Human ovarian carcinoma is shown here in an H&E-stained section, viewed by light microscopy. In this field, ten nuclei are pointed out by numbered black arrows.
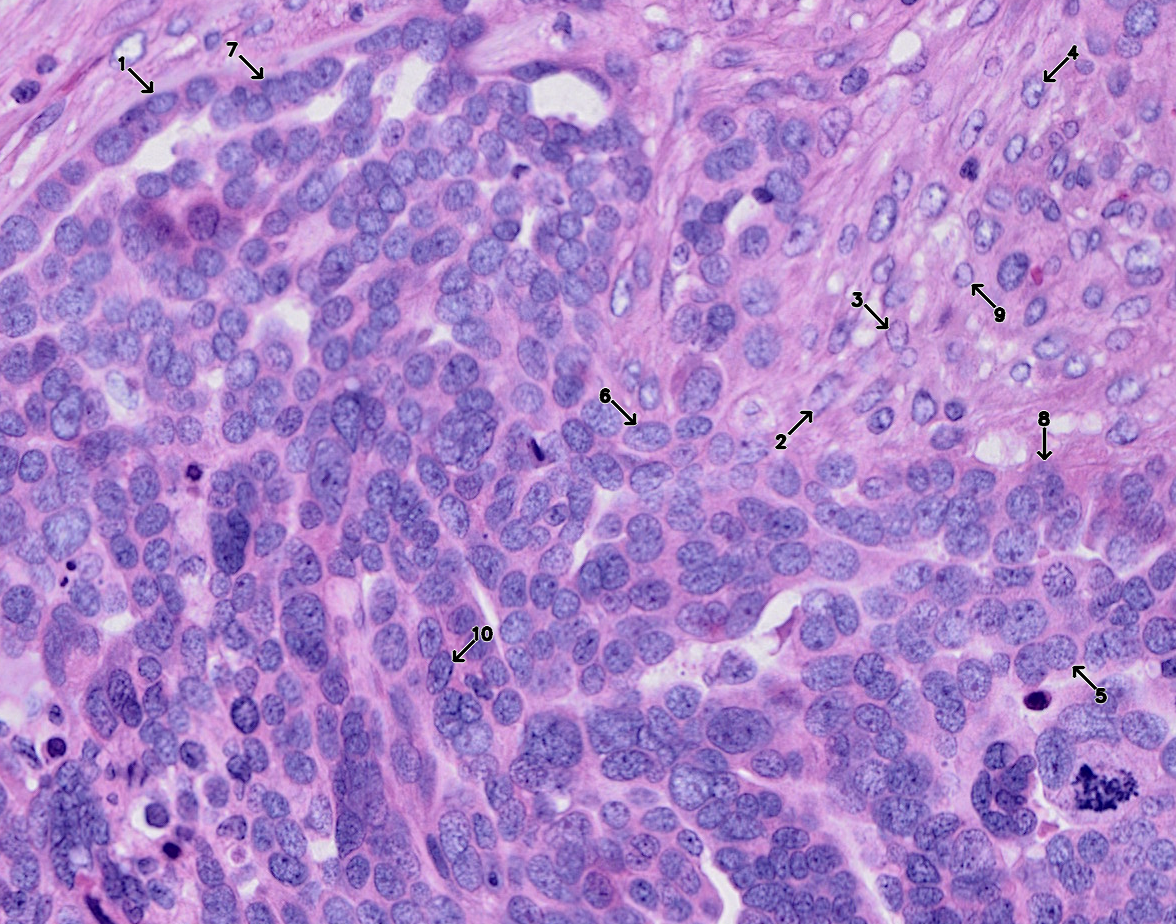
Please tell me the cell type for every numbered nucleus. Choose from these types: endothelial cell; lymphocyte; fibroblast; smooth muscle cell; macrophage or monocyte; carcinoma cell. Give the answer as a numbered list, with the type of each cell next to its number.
1. carcinoma cell
2. fibroblast
3. fibroblast
4. fibroblast
5. carcinoma cell
6. carcinoma cell
7. carcinoma cell
8. carcinoma cell
9. fibroblast
10. carcinoma cell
